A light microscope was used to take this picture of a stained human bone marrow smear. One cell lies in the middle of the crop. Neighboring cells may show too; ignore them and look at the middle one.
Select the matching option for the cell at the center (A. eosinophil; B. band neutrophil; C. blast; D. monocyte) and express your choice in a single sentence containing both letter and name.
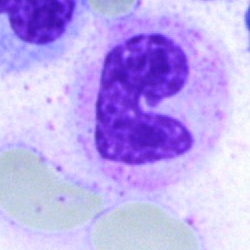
The cell at the heart of the crop is a band neutrophil, so choose option B.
